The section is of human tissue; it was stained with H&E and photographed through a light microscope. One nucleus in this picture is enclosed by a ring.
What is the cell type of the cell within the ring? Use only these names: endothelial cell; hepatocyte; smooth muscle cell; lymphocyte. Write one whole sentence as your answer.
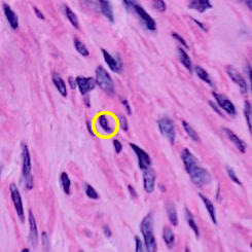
This is a smooth muscle cell.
